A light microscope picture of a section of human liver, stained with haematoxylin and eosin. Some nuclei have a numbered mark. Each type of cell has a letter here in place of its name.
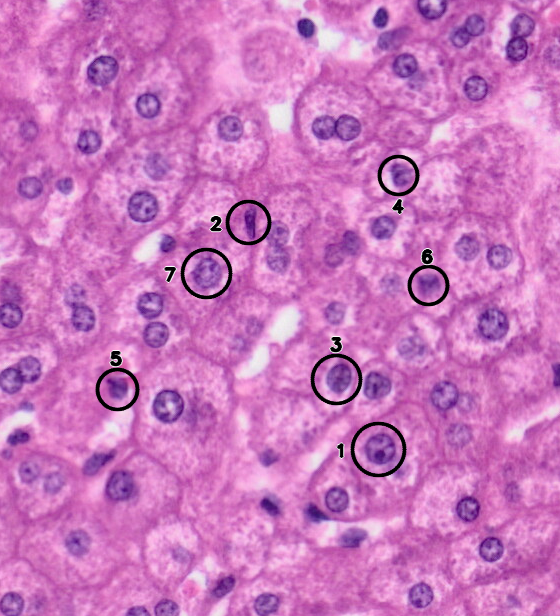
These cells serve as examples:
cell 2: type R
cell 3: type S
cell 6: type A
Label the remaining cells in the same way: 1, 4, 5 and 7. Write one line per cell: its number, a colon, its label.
1: type S
4: type S
5: type A
7: type S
